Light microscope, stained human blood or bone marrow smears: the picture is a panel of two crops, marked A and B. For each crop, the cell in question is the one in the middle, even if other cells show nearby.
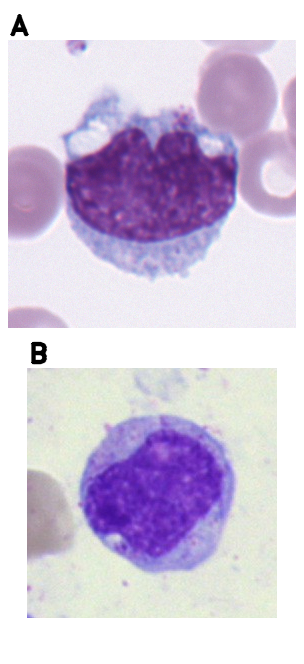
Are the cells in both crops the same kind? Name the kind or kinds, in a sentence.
Yes, both crops feature monocytes at the centre.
